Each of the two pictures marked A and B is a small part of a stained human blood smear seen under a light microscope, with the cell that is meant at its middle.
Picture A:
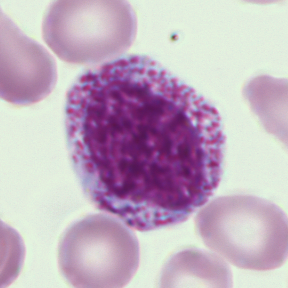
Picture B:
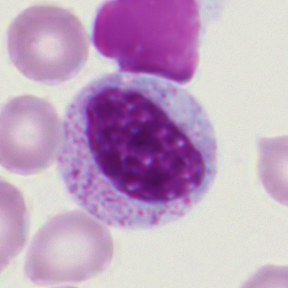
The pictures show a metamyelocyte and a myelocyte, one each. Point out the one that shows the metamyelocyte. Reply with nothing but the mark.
B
